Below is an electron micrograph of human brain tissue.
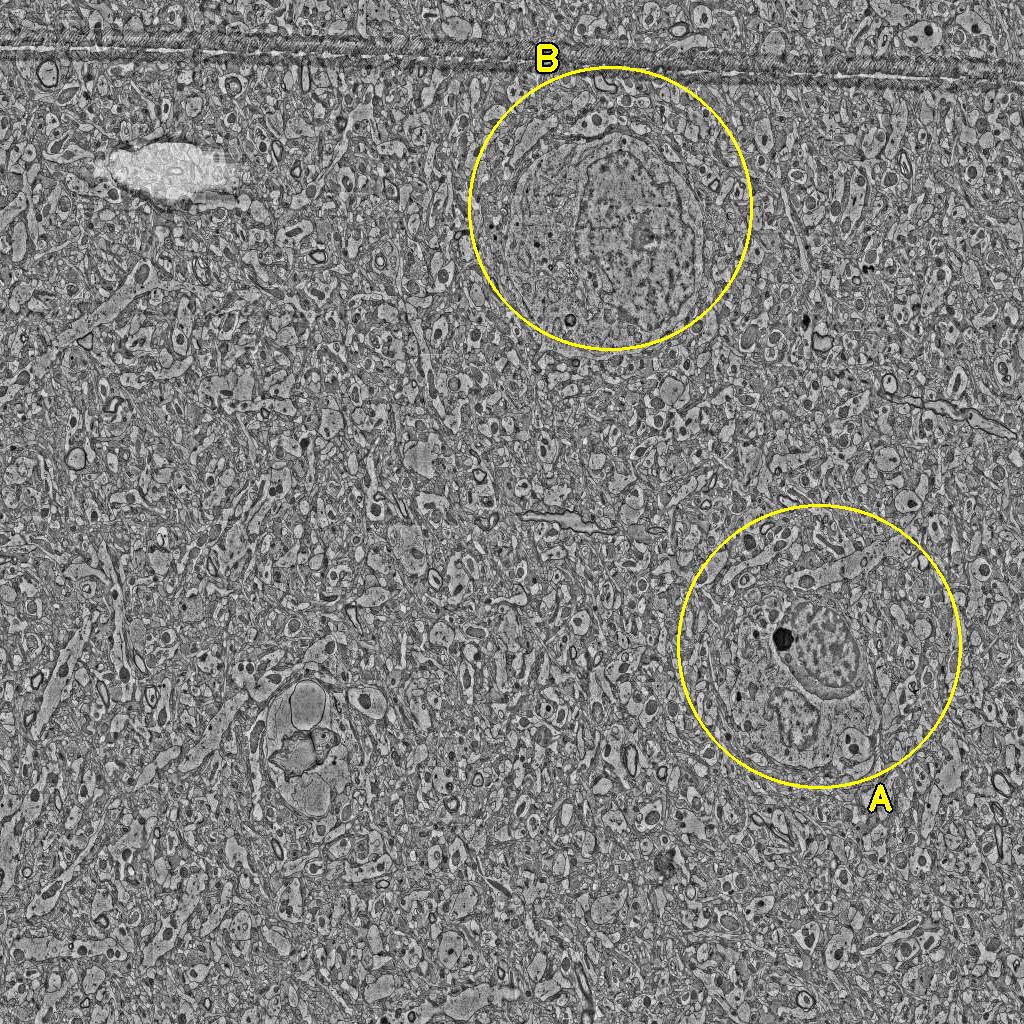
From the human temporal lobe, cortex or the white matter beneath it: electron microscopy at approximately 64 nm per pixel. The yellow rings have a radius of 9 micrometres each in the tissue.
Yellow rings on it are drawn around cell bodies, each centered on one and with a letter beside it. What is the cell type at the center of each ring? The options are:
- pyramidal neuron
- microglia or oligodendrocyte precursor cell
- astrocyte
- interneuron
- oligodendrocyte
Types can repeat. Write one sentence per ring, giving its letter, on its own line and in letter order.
At the center of ring A is an oligodendrocyte.
At the center of ring B is an interneuron.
